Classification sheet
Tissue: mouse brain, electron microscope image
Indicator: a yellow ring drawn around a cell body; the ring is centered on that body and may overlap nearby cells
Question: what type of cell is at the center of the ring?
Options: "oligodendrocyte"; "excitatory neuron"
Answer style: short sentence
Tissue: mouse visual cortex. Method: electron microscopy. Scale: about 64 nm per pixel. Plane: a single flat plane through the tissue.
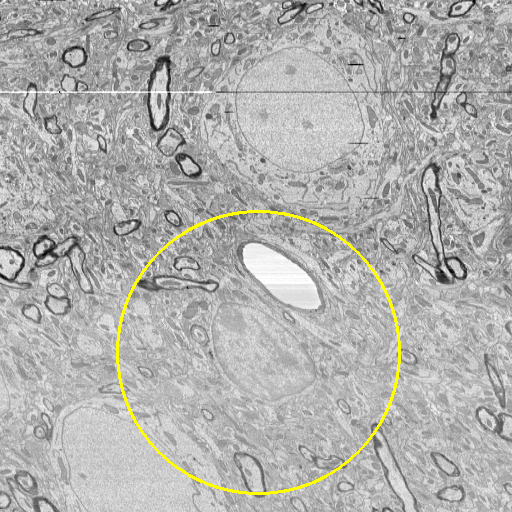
At the ring's center is an oligodendrocyte.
